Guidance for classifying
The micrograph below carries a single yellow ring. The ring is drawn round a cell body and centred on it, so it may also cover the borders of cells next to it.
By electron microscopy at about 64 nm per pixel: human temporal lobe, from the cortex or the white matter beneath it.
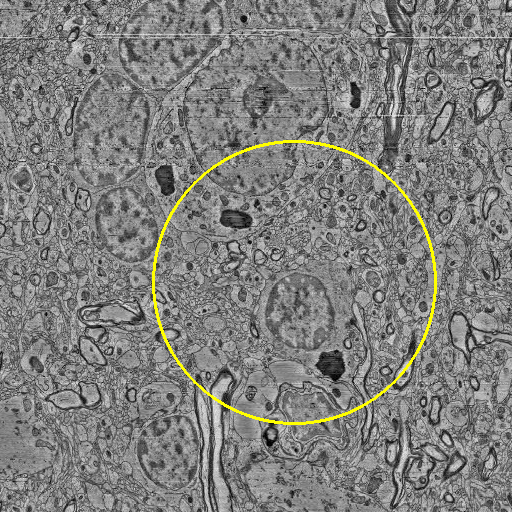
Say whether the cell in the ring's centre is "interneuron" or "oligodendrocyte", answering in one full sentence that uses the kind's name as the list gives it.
Within the yellow ring, an oligodendrocyte is the cell whose body sits at the centre.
